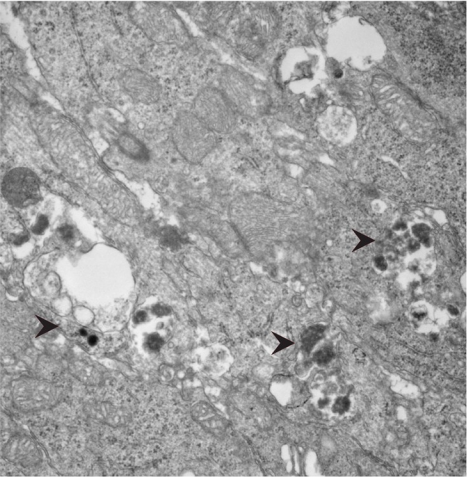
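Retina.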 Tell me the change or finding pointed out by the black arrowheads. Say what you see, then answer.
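Arrowheads point to clumps of dark, irregular material. The dark clumps sit in membrane-bound compartments with pale spaces. Mitochondria lie nearby in the surrounding cytoplasm.
Conclusion: electron-dense deposits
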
